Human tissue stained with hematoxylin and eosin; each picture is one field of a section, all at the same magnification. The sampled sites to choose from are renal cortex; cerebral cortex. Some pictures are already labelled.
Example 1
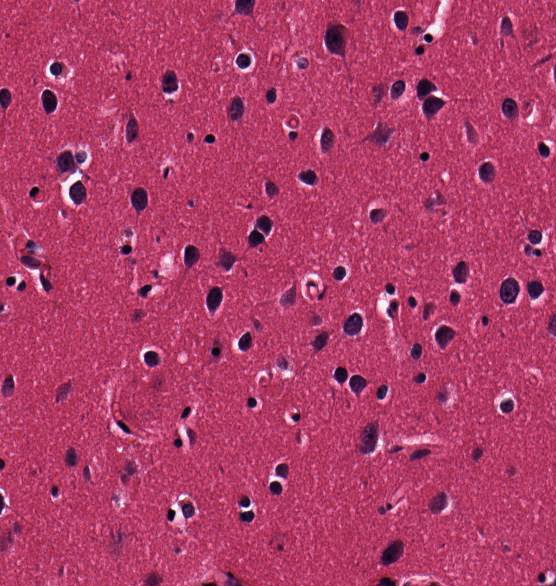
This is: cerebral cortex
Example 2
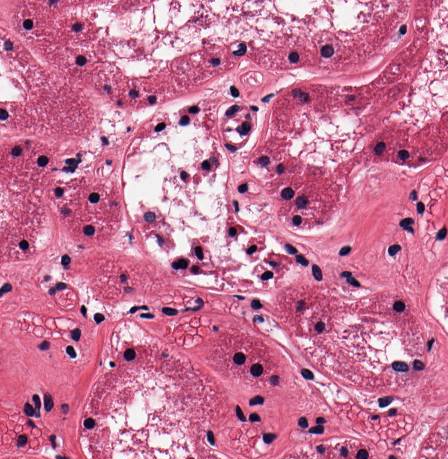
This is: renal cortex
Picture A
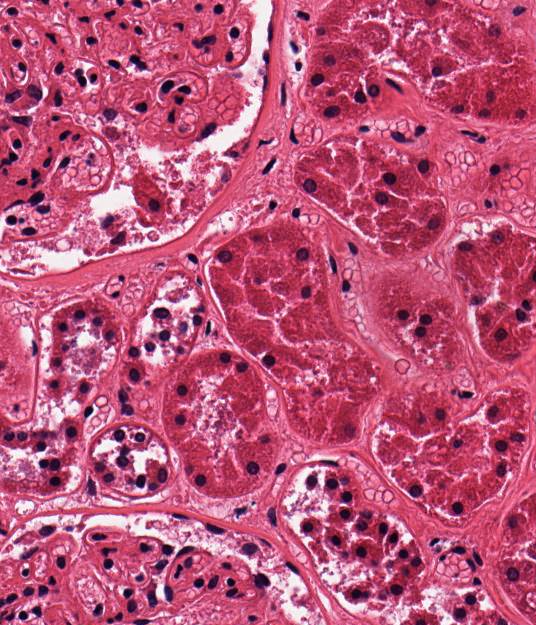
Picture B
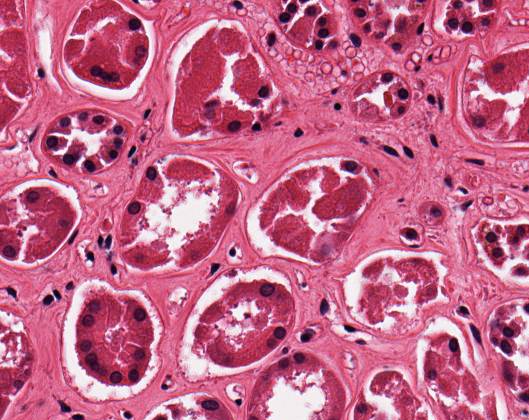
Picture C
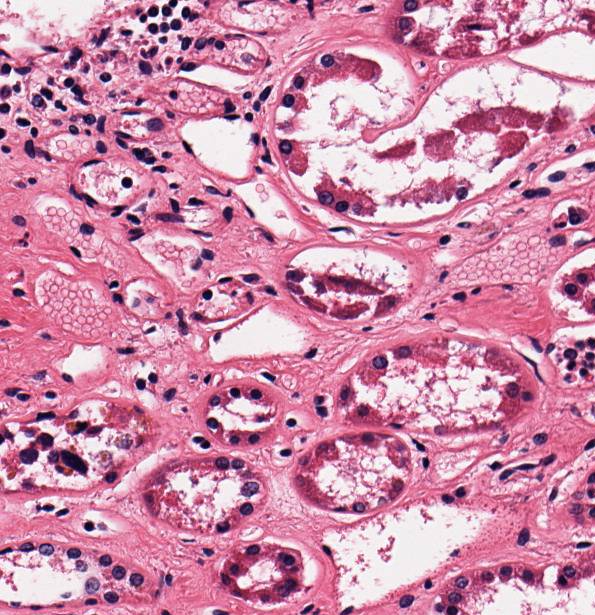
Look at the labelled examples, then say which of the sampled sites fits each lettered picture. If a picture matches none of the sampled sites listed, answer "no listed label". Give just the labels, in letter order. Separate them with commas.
renal cortex, renal cortex, renal cortex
